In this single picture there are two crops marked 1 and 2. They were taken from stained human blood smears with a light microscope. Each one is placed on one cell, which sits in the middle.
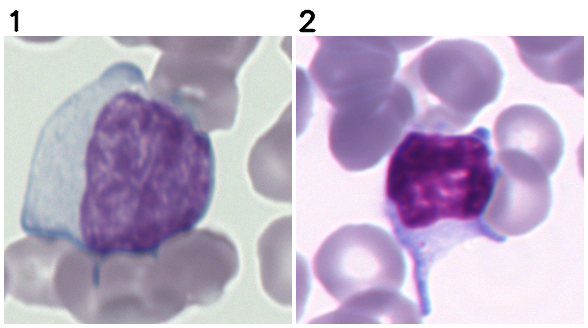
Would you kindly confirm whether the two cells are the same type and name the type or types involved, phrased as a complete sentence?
No, a myeloblast and a typical lymphocyte are found in crop 1 and crop 2, respectively.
